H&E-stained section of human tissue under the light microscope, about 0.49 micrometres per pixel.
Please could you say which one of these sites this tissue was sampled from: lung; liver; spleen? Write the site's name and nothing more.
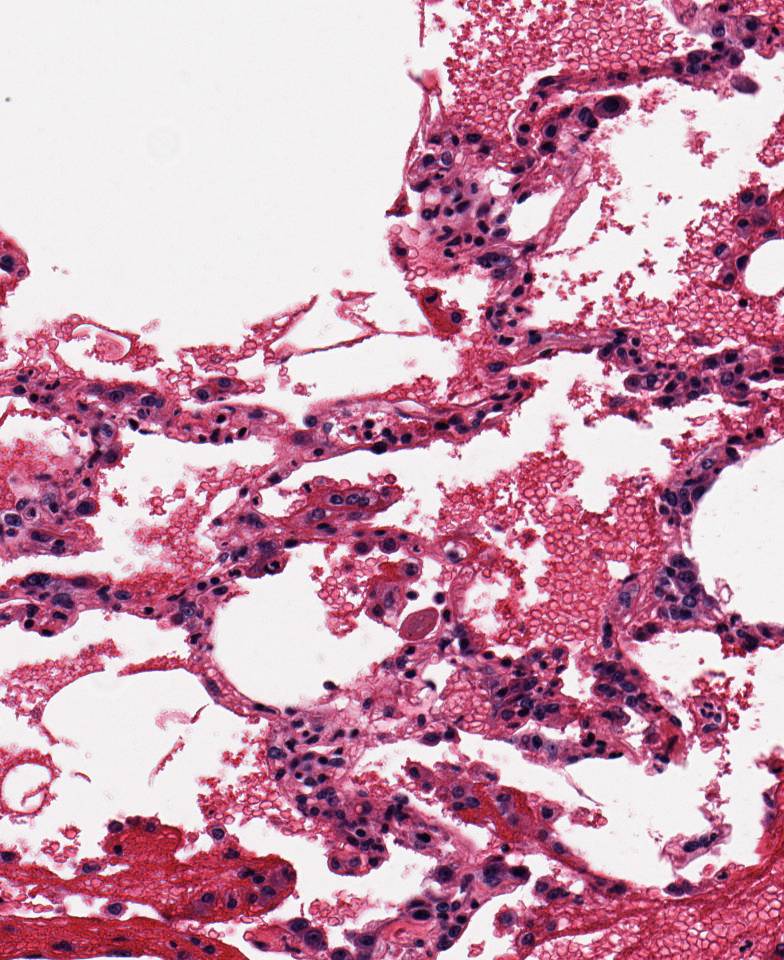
lung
